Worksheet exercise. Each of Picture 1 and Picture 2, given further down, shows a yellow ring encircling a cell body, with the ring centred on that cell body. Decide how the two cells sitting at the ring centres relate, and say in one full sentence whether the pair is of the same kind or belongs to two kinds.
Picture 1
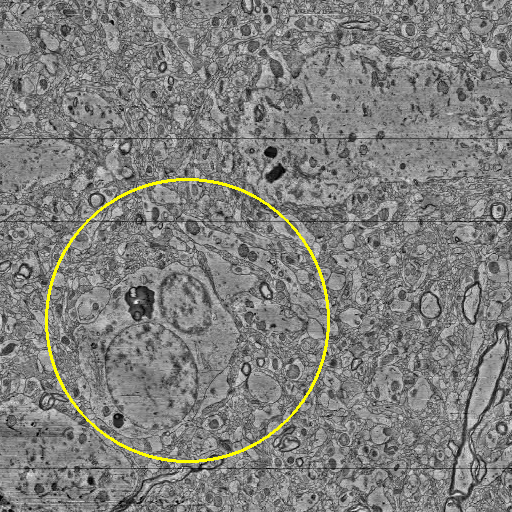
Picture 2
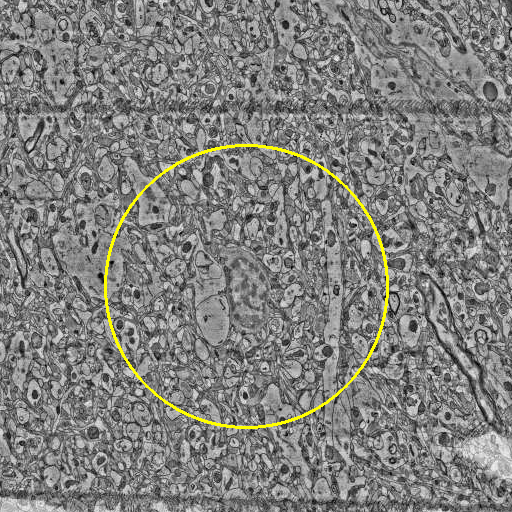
The cells at the ring centres in Picture 1 and Picture 2 belong to two kinds.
